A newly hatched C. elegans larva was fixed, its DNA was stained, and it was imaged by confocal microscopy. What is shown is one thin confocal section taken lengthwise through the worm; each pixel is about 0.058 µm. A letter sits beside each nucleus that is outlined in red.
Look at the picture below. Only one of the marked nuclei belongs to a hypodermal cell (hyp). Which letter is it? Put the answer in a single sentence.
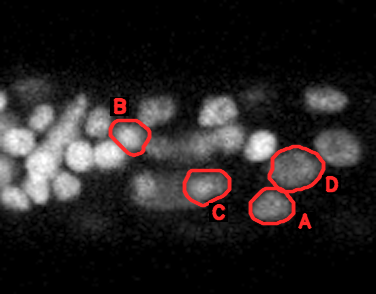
Of the marked nuclei, D is the one in a hypodermal cell (hyp).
